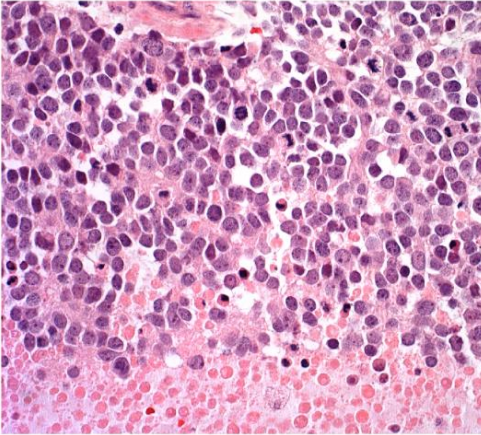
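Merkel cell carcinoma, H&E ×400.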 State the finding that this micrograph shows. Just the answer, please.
necrosis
